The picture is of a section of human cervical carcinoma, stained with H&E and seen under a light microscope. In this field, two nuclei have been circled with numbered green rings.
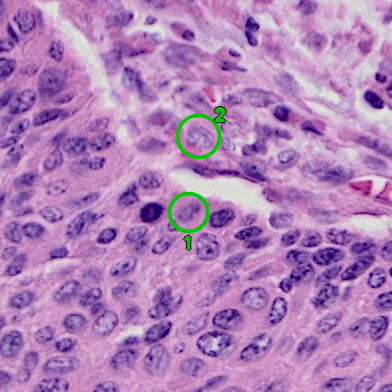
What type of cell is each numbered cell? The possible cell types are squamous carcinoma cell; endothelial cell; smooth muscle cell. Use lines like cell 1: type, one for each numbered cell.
cell 1: squamous carcinoma cell
cell 2: endothelial cell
